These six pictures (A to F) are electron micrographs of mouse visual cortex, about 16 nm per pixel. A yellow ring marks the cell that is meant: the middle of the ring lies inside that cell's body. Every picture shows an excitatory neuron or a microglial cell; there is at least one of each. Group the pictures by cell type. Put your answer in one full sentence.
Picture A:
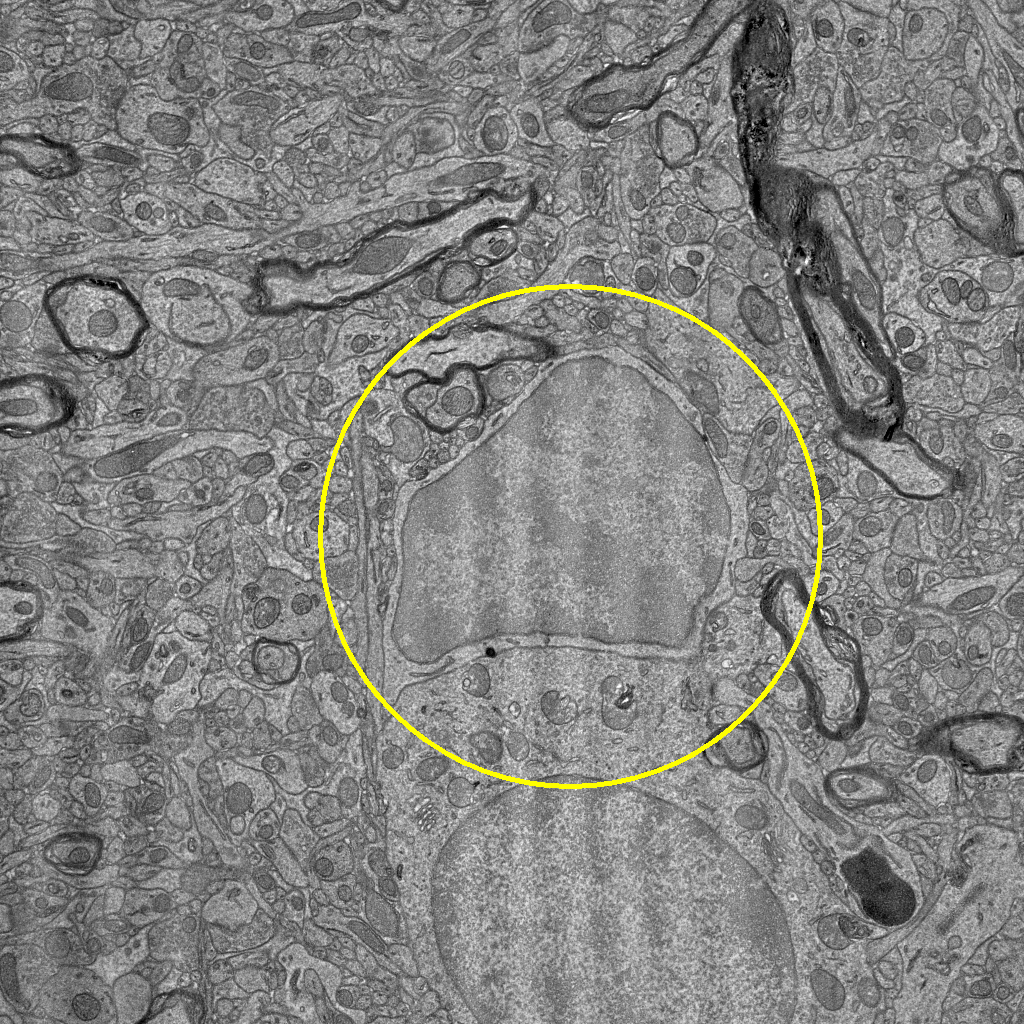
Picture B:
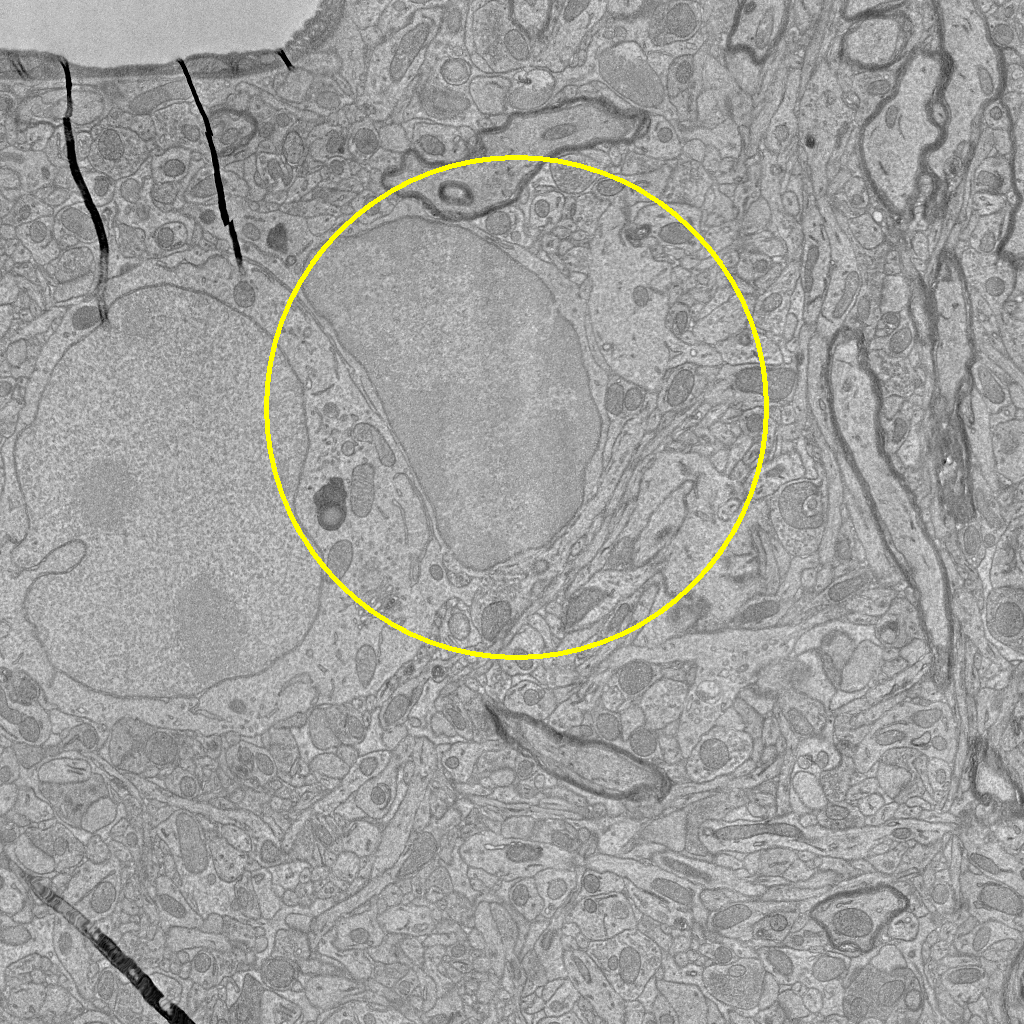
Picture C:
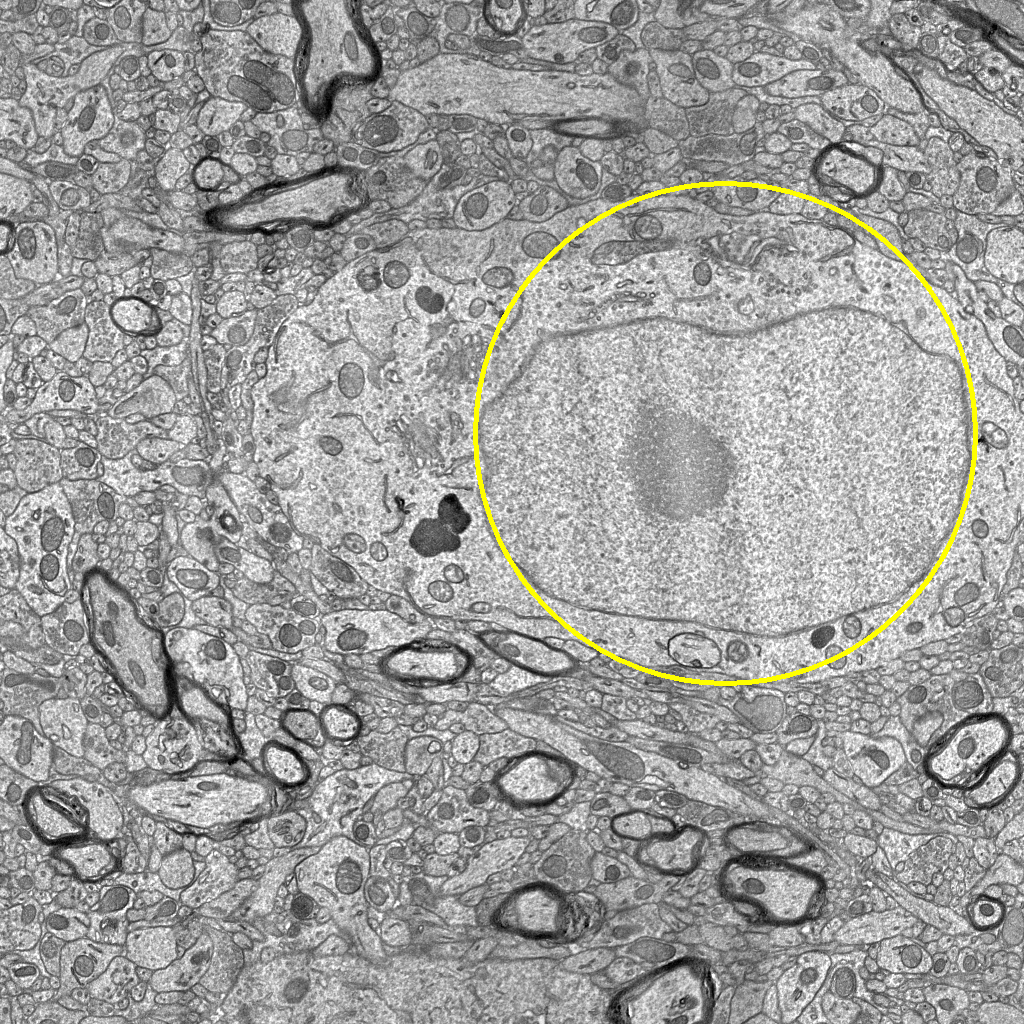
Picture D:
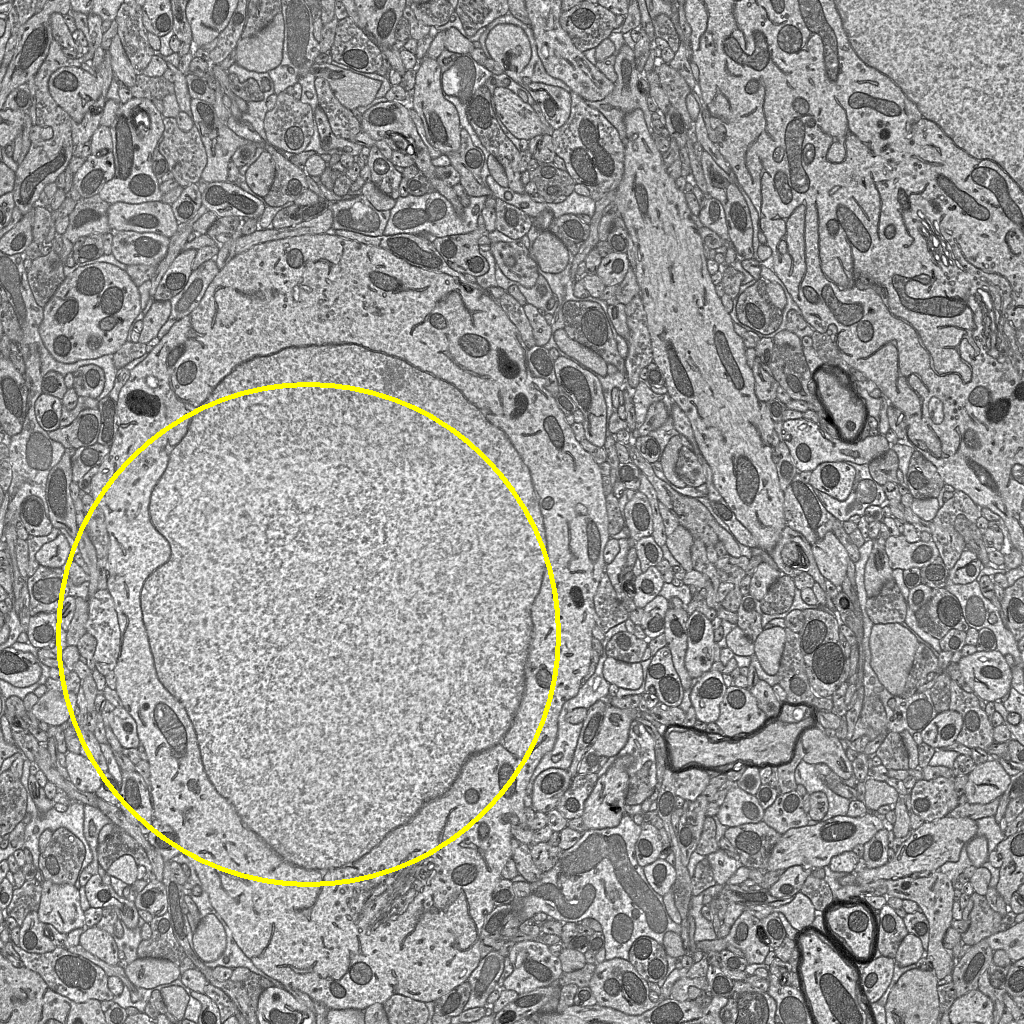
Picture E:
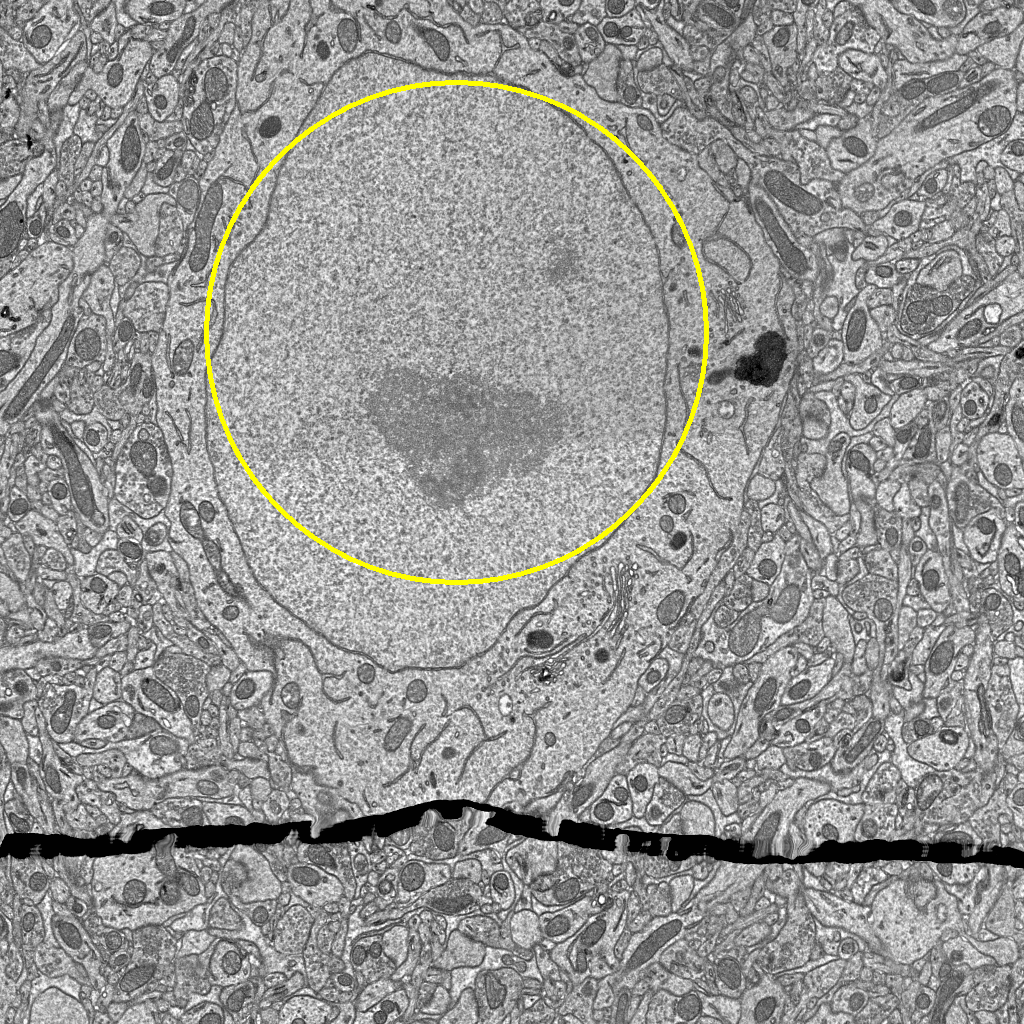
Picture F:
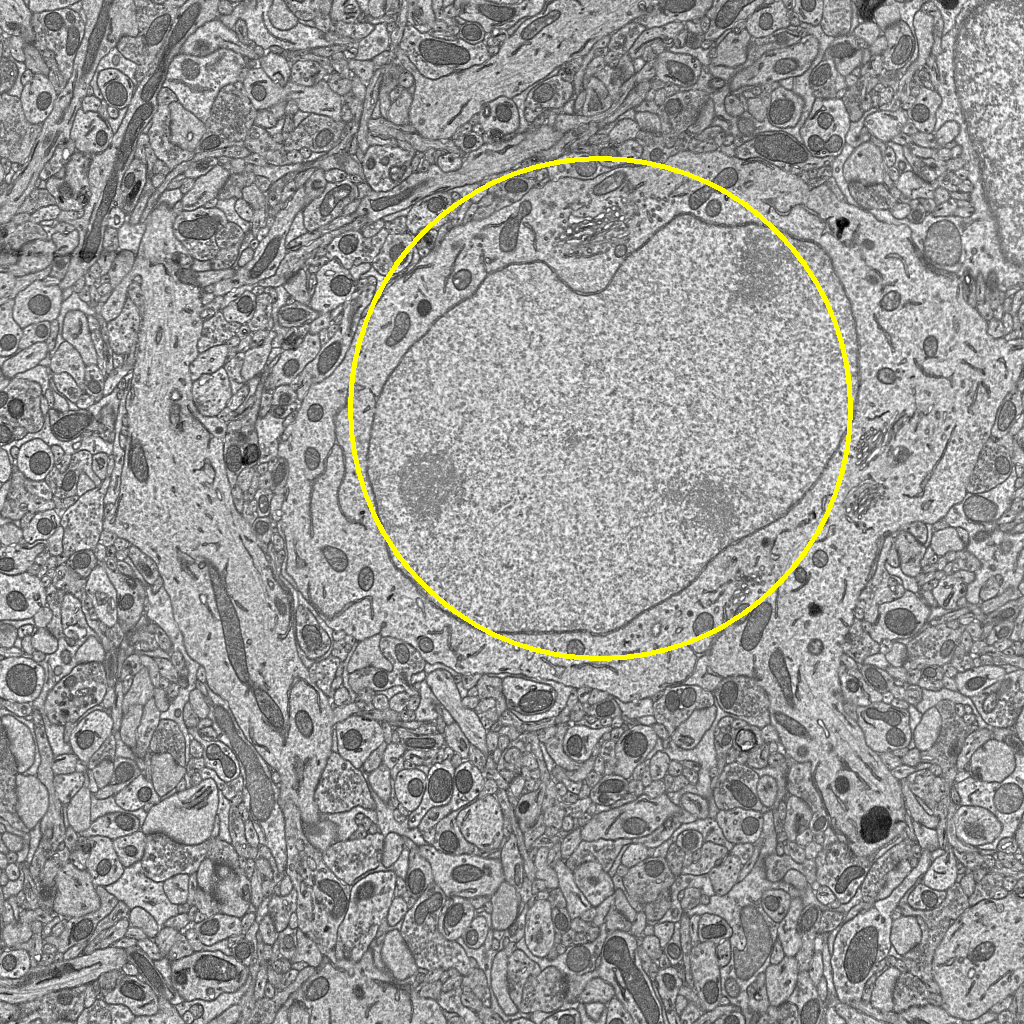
Pictures C, D, E and F show excitatory neurons, and pictures A and B show microglial cells.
